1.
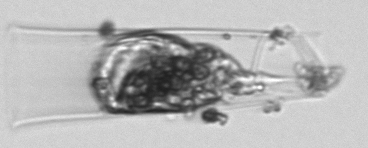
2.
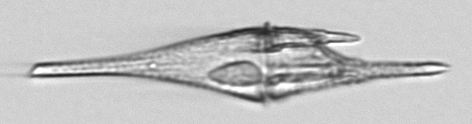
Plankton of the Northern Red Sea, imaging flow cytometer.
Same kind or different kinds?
Different: the first is a tintinnid, the second Tripos.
